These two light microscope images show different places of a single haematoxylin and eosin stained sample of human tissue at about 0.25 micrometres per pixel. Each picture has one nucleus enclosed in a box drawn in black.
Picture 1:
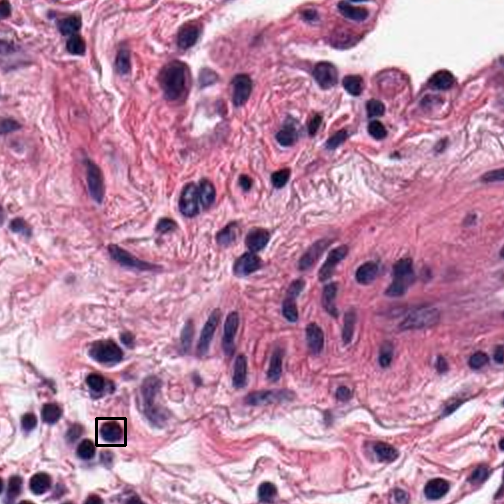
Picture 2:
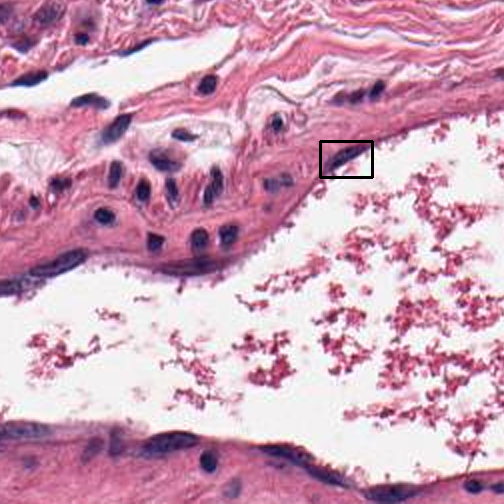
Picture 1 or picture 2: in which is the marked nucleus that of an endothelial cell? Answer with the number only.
2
